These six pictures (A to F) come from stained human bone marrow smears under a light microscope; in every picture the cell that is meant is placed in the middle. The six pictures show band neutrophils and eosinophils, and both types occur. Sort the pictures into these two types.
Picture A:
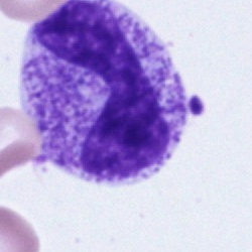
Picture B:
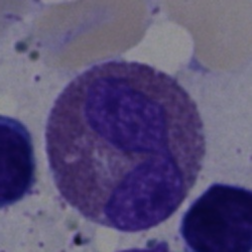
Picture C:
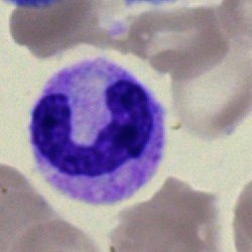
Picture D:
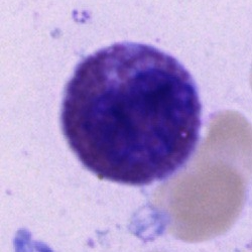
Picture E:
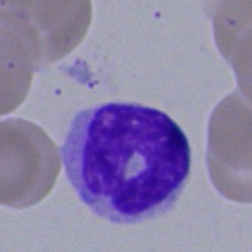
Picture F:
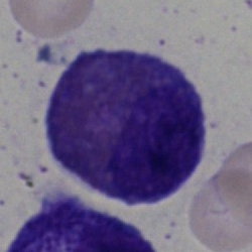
A: band neutrophil
B: eosinophil
C: band neutrophil
D: eosinophil
E: band neutrophil
F: eosinophil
